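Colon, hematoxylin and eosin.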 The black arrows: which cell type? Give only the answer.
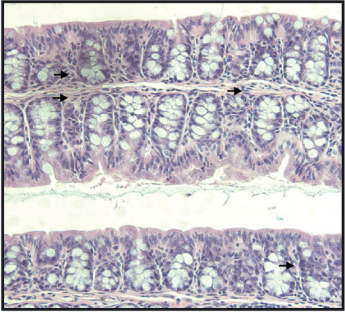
Immune cells.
